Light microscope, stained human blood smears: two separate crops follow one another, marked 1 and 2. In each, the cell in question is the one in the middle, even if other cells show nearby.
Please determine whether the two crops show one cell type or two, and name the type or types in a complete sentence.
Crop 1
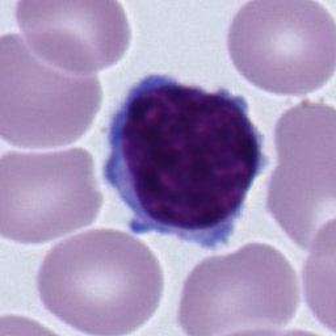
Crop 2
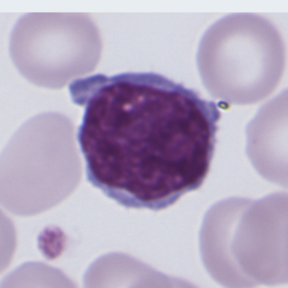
Yes, typical lymphocytes are at the centre in both crops.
